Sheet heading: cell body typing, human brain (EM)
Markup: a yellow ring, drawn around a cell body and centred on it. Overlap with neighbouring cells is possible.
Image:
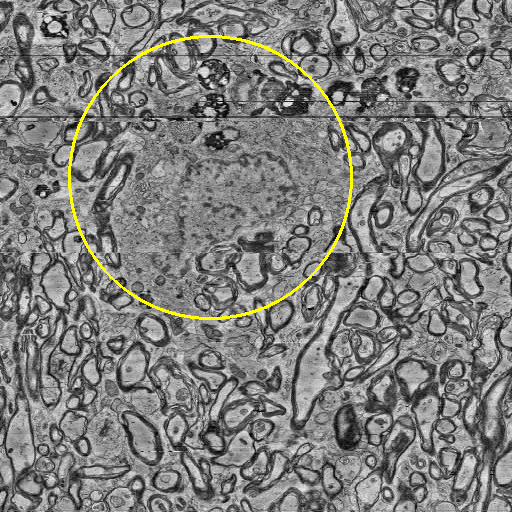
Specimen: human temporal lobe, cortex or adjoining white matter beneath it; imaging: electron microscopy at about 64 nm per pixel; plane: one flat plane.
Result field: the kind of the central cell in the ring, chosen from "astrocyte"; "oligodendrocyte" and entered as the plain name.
astrocyte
